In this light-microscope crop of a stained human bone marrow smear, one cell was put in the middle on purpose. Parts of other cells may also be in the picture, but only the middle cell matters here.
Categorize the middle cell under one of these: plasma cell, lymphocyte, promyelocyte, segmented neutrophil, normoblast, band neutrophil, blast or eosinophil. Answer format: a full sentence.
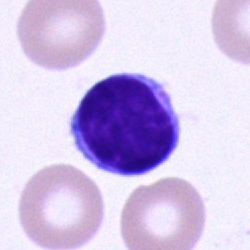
In the middle of this smear crop, the cell is a lymphocyte.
